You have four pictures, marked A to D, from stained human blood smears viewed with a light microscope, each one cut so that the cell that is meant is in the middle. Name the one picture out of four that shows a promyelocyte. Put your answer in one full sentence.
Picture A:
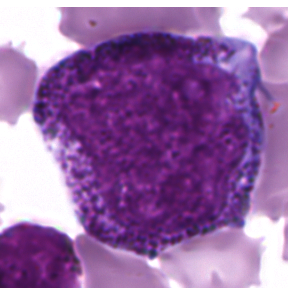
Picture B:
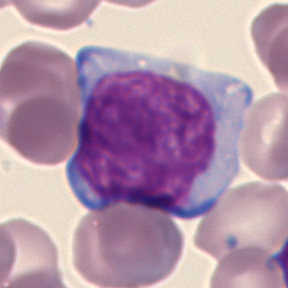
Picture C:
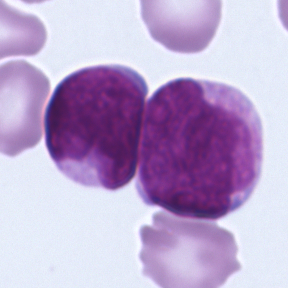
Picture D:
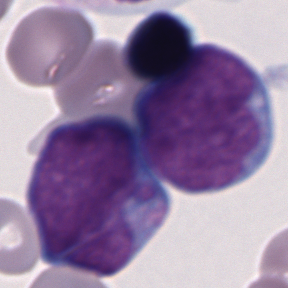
The promyelocyte is the one in picture A.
